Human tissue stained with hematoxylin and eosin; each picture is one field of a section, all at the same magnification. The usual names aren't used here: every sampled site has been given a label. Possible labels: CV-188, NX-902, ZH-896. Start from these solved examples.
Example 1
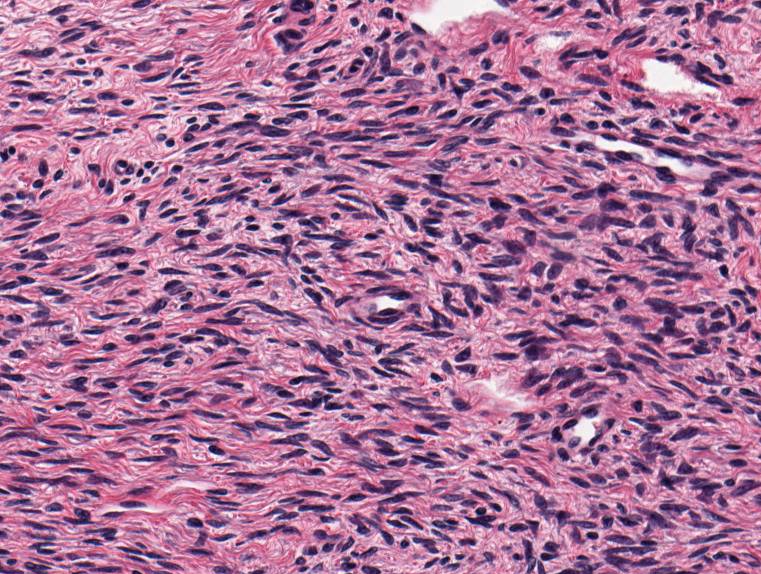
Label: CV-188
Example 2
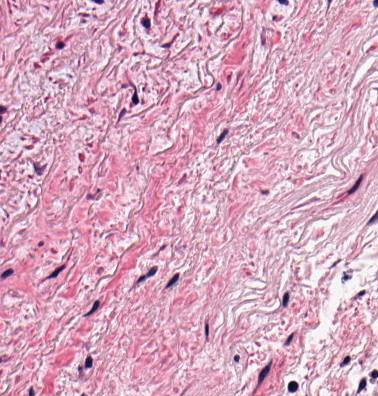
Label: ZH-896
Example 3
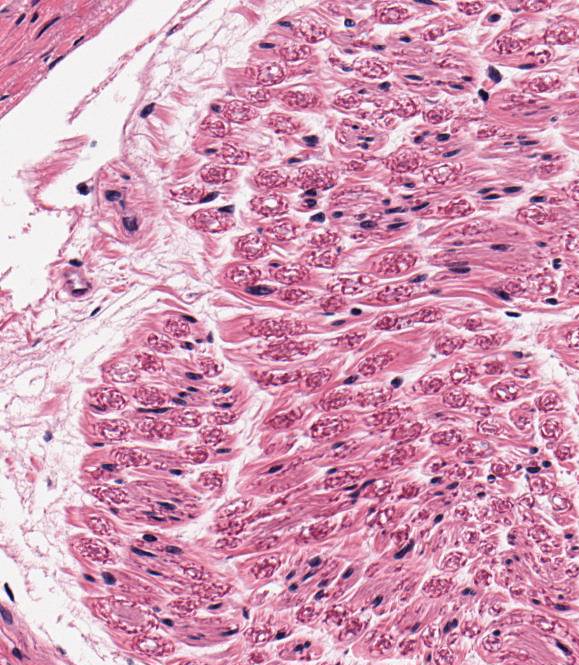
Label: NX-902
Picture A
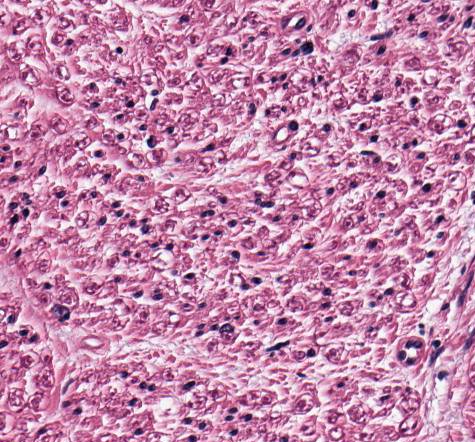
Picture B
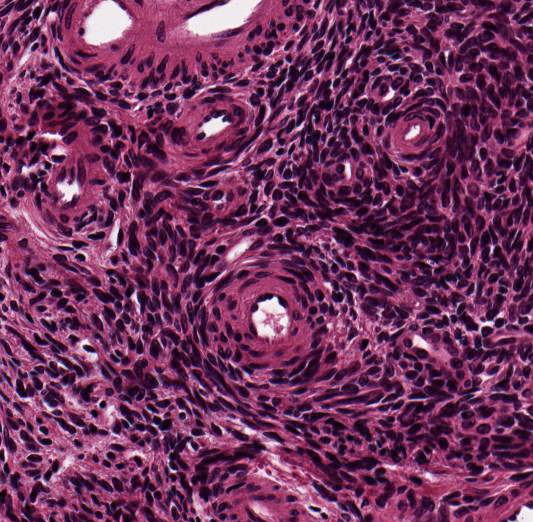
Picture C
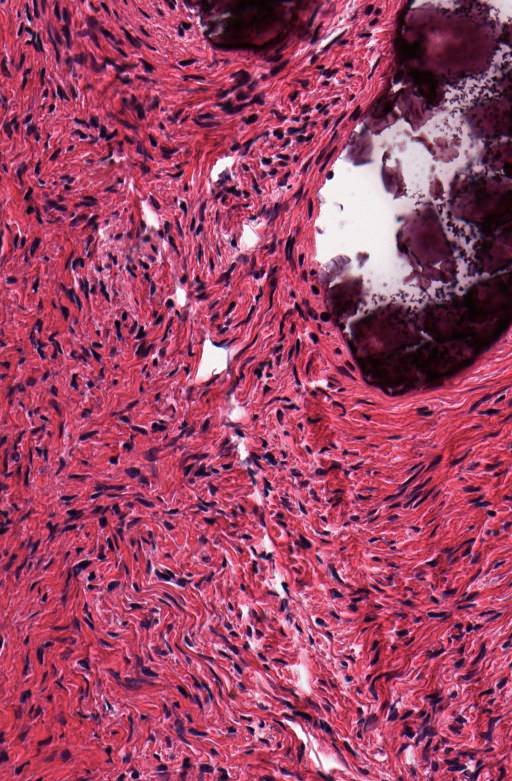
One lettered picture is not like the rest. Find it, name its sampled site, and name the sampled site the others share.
A: NX-902; all the others: CV-188.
